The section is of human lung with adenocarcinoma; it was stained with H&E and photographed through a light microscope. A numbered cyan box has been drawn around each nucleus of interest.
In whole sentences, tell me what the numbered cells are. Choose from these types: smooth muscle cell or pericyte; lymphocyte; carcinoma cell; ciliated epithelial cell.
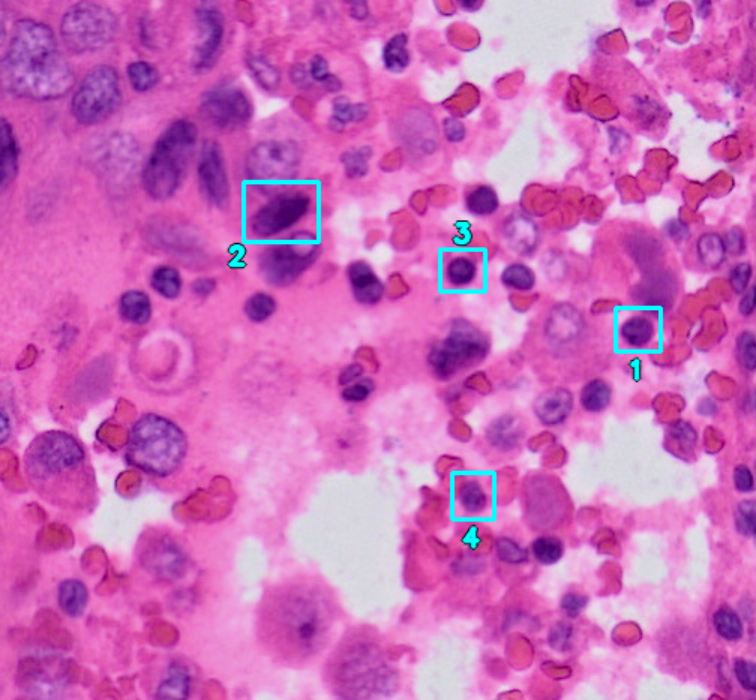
Cell 1 is a lymphocyte, cell 2 is a carcinoma cell, cell 3 is a lymphocyte and cell 4 is a lymphocyte.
